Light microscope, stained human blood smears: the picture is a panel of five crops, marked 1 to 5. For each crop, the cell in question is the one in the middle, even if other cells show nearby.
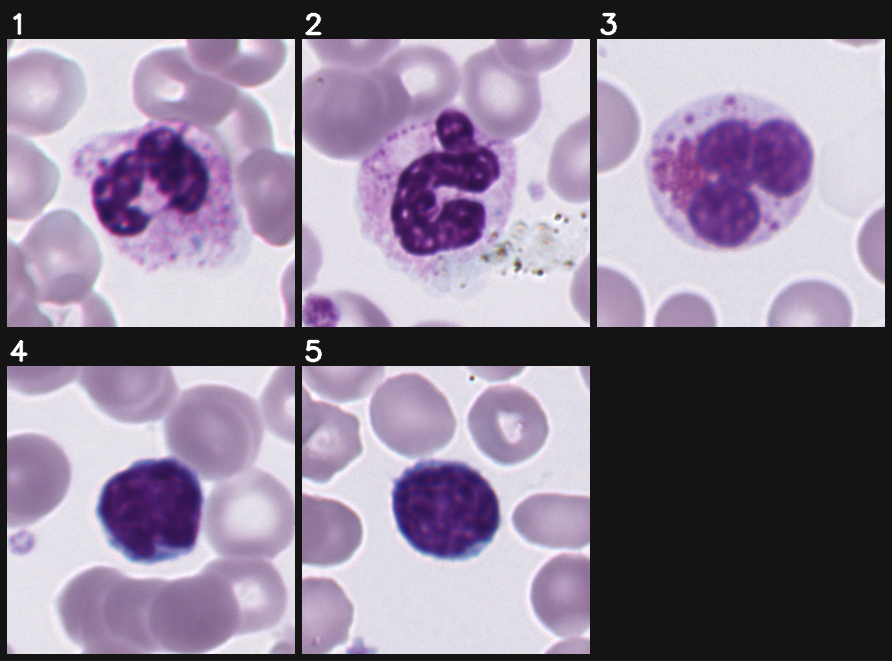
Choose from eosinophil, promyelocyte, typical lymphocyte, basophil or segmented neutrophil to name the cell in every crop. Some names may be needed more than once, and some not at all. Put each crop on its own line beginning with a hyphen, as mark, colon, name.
- 1: segmented neutrophil
- 2: segmented neutrophil
- 3: eosinophil
- 4: typical lymphocyte
- 5: typical lymphocyte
